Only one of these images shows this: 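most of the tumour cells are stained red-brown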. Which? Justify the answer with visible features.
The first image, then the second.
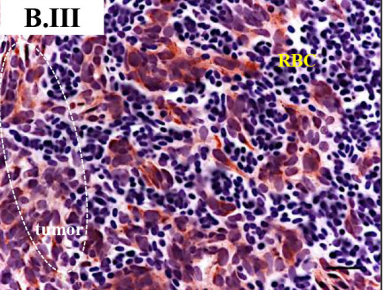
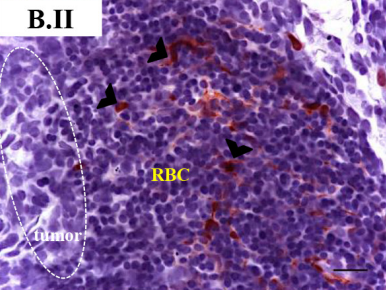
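The first image. First image: many elongated cells throughout the field show red-brown staining. Second image: only a few scattered cells, marked by black arrowheads, are red-brown among mostly purple cells.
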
